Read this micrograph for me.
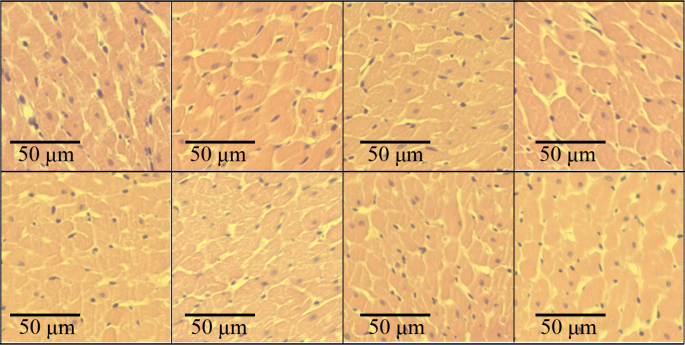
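Heart muscle is shown cut largely in cross-section, made up of closely packed cardiomyocytes whose cytoplasm stains pink-orange. Narrow pale clefts and thin strands of interstitial tissue separate the cells, and scattered smaller nuclei lie between them.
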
